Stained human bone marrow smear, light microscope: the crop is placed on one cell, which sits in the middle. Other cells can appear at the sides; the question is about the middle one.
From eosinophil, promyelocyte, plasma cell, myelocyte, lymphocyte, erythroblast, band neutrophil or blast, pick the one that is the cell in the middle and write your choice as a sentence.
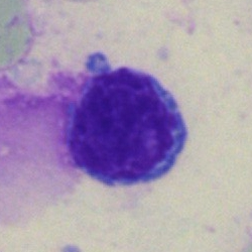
The middle position in this crop is taken by a lymphocyte.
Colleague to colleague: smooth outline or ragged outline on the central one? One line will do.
Its surface contour departs from smoothness through ragged edges or outward projections.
